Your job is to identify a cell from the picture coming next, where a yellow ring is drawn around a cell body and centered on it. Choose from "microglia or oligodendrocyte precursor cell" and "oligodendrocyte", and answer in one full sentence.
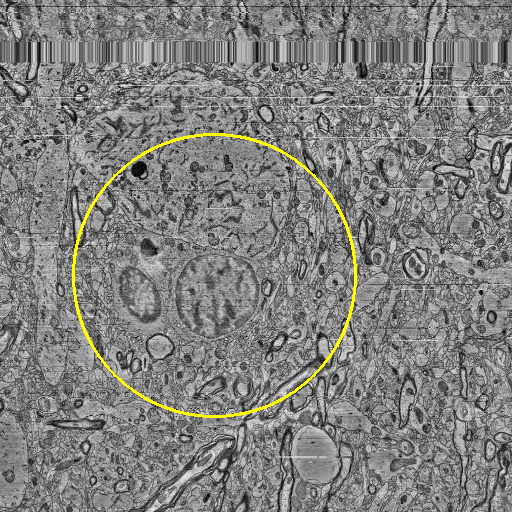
Centered in the yellow ring of the picture is the body of an oligodendrocyte.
